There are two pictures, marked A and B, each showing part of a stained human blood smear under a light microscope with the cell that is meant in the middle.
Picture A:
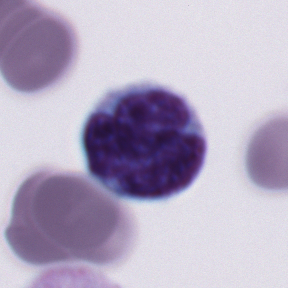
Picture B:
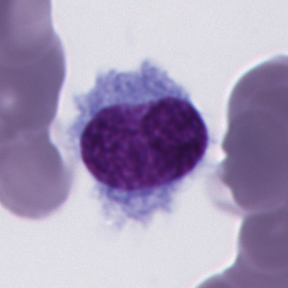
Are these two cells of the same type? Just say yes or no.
no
